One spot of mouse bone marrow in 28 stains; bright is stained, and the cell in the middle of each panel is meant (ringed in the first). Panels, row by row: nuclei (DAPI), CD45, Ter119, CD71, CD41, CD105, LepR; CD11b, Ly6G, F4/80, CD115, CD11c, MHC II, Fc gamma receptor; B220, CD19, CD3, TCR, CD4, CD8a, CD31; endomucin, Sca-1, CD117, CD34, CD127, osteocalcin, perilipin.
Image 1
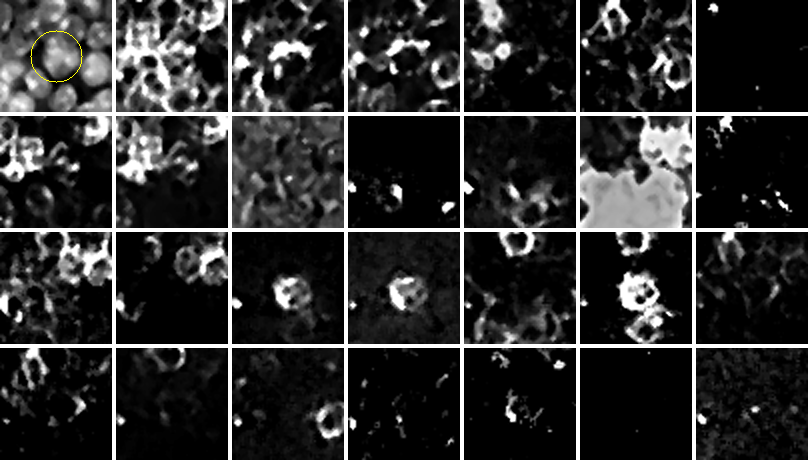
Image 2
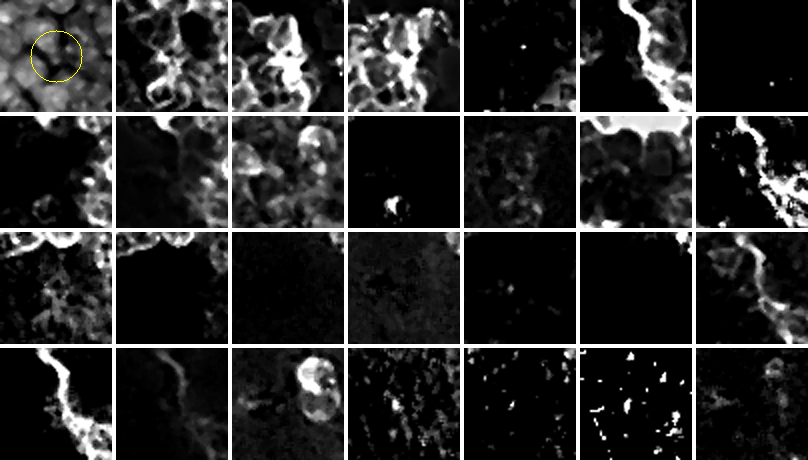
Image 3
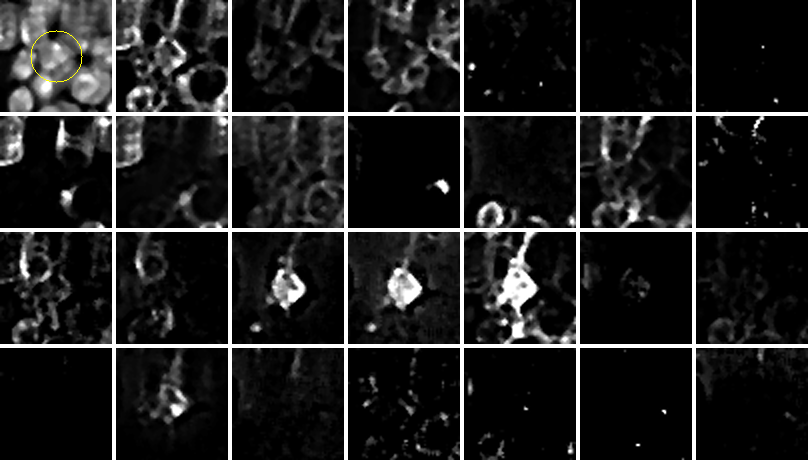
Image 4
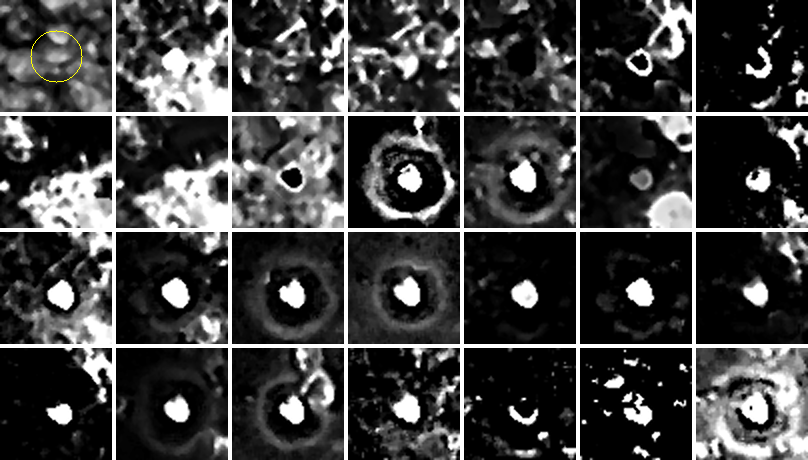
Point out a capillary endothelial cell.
That is picture 2.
